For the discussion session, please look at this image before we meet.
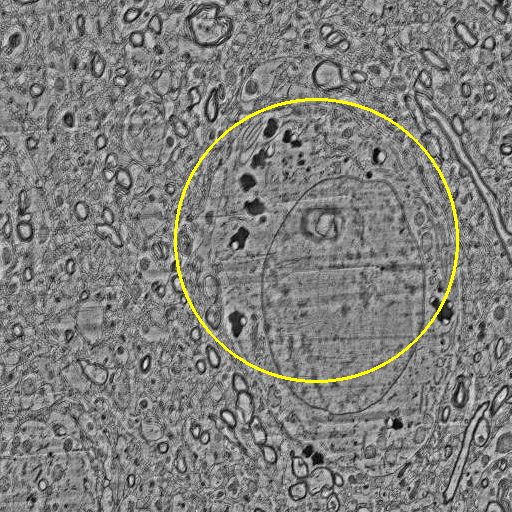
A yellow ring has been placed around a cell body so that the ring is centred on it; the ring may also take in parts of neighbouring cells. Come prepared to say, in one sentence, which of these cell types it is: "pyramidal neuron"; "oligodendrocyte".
The cell centred in the ring is a pyramidal neuron.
